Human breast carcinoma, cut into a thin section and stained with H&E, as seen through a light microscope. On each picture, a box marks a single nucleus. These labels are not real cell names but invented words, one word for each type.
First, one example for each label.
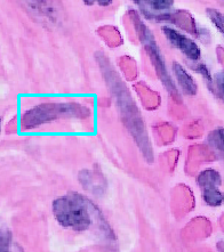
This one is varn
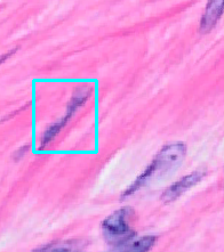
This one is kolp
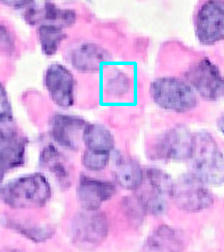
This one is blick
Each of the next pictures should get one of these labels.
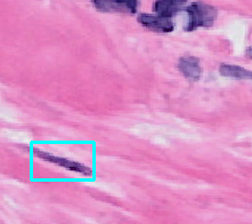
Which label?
kolp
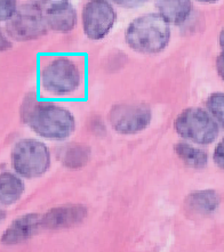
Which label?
blick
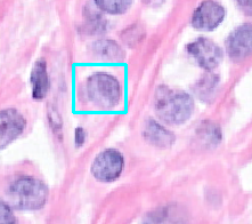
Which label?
blick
